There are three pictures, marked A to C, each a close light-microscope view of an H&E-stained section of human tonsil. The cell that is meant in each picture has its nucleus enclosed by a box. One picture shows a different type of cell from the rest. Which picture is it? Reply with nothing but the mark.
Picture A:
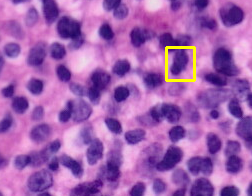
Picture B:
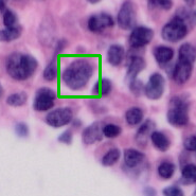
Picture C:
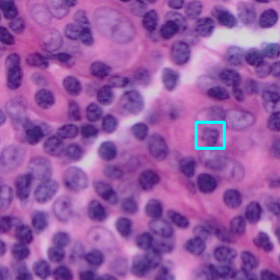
C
